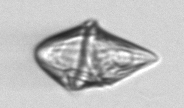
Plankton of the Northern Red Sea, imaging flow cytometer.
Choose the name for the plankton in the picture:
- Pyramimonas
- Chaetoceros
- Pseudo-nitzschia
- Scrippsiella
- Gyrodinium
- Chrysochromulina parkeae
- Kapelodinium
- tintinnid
Gyrodinium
